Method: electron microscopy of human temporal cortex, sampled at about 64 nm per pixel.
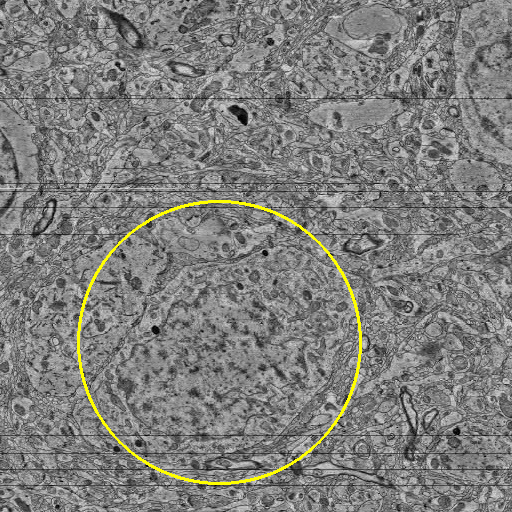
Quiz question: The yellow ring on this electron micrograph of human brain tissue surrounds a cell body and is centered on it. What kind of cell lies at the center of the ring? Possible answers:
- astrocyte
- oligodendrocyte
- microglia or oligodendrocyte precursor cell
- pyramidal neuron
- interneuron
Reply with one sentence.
The ring's center lies on an interneuron.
